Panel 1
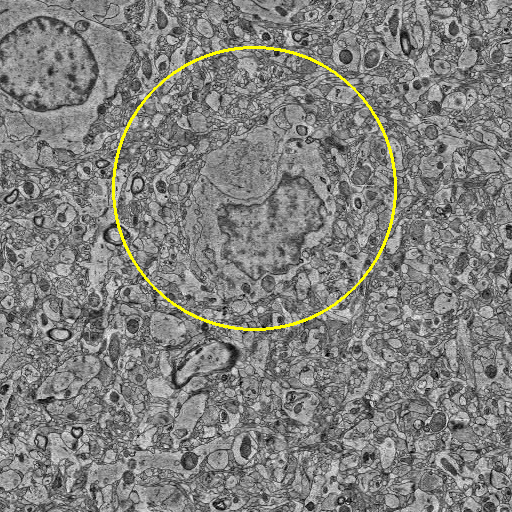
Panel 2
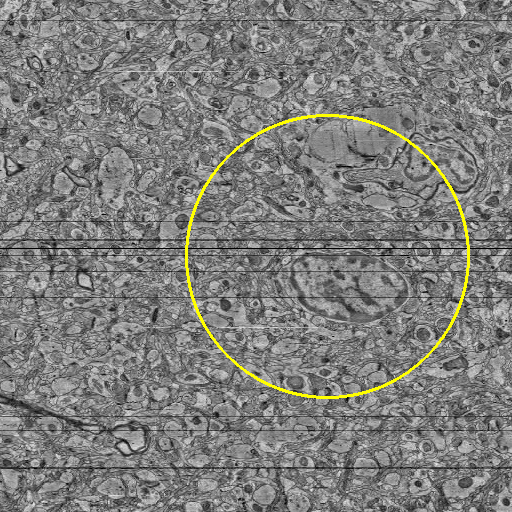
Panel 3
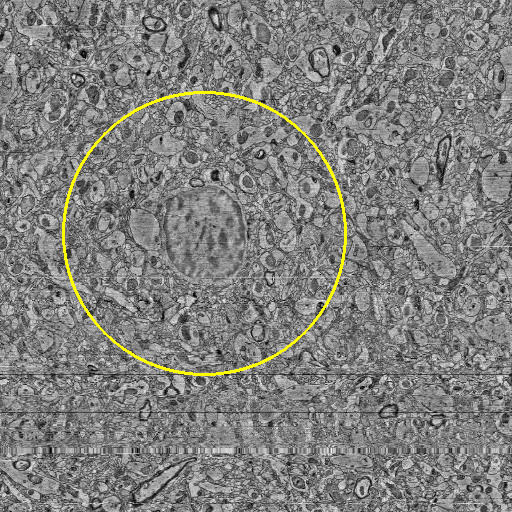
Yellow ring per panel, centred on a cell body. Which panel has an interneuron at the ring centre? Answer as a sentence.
Panel 1 shows it at the ring centre.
